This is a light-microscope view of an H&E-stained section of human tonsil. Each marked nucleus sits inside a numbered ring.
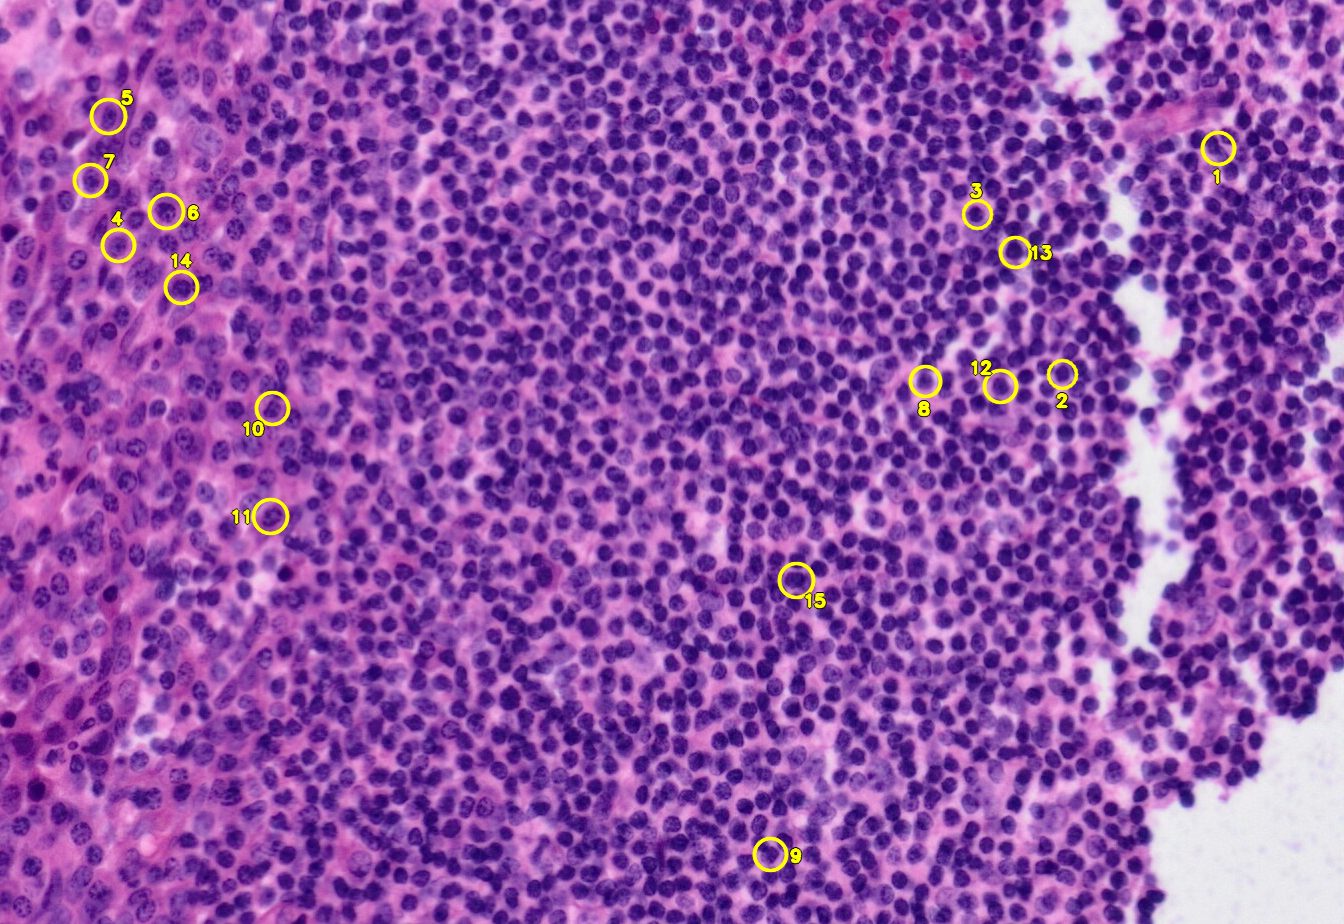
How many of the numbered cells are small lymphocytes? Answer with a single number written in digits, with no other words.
8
